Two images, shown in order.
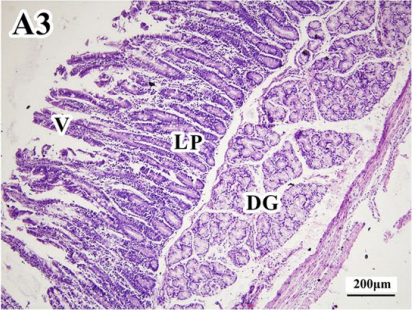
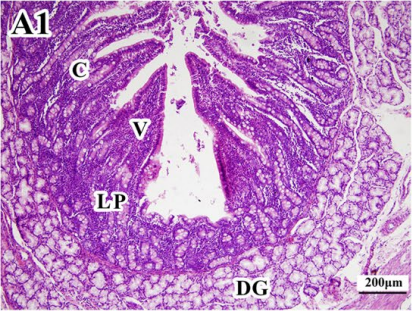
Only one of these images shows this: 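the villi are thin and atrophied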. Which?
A: The first image.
